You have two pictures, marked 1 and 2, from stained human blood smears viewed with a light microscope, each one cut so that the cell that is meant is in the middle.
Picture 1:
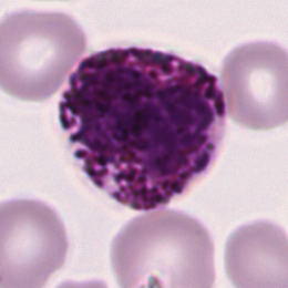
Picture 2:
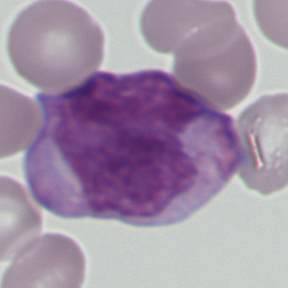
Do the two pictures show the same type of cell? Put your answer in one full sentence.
No, the types are not the same, since picture 1 shows a basophil and picture 2 an atypical promyelocyte.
